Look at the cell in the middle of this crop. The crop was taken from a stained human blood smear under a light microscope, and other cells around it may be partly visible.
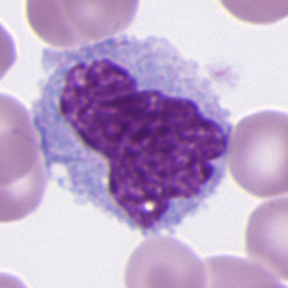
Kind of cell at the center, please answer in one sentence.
The single cell at the center of the crop is a monocyte.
